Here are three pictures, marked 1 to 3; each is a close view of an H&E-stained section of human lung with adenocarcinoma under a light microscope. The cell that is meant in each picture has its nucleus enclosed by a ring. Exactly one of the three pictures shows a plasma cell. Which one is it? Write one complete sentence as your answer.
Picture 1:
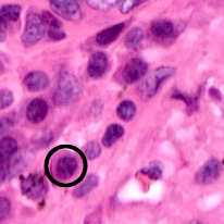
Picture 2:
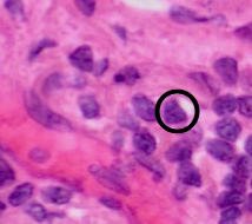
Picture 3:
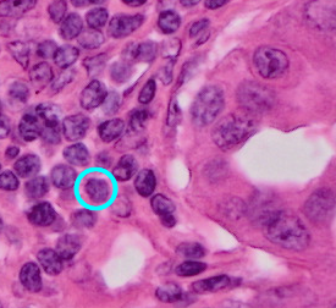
The plasma cell is the one in picture 1.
